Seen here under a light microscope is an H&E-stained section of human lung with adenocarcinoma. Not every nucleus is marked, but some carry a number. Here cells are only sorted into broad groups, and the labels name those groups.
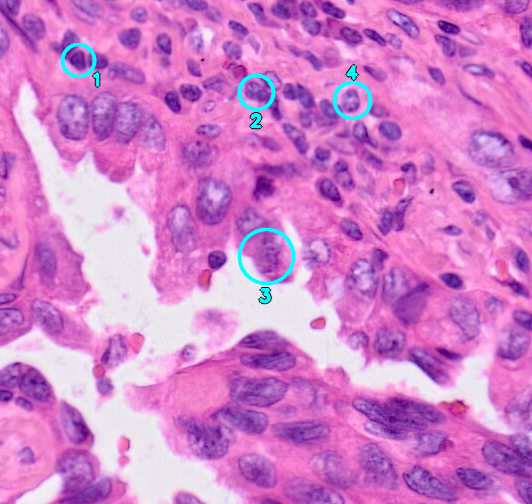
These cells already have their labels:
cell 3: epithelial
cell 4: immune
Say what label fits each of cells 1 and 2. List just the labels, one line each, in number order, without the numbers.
immune
immune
